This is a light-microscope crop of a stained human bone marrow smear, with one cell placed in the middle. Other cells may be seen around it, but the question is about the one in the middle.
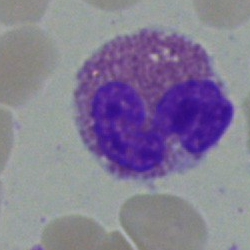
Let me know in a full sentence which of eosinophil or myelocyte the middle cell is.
The single cell at the center of the crop is an eosinophil.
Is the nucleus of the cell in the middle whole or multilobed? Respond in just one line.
You can count two or more lobes in this nucleus.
